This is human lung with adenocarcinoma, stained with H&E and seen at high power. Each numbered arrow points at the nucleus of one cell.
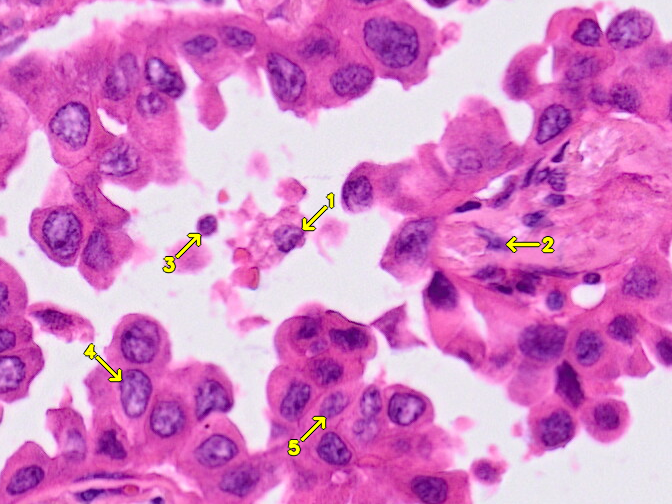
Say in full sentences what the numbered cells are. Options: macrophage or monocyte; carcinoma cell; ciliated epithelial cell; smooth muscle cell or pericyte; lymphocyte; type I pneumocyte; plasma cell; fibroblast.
Cell 1 is a macrophage or monocyte. Cell 2 is a fibroblast. Cell 3 is a lymphocyte. Cells 4 and 5 are carcinoma cells.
